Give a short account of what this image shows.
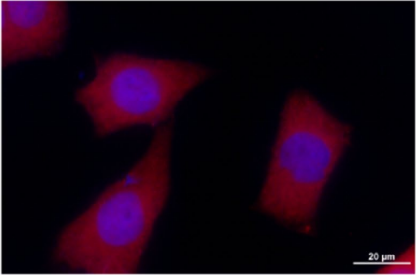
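These are a few large cultured cells, each with one rounded blue nucleus placed near the middle of a broad red cell body. The red fills the cytoplasm widely around the nucleus, while the nucleus shows mostly blue with a purplish tint where the colours overlap.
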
